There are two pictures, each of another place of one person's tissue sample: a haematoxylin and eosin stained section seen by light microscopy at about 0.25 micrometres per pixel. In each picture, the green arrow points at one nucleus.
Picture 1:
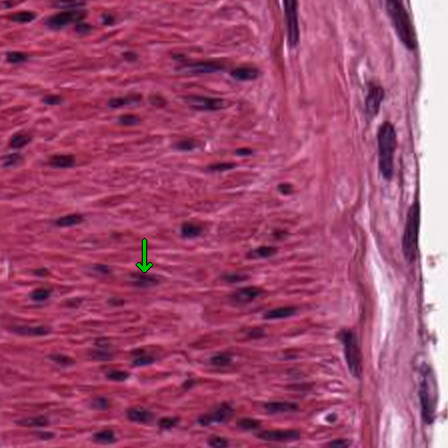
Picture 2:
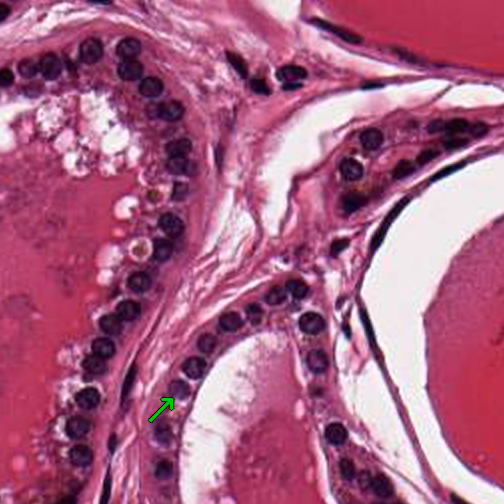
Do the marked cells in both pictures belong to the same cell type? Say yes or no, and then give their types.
No, the first is a smooth muscle cell and the second a thyroid follicular cell.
